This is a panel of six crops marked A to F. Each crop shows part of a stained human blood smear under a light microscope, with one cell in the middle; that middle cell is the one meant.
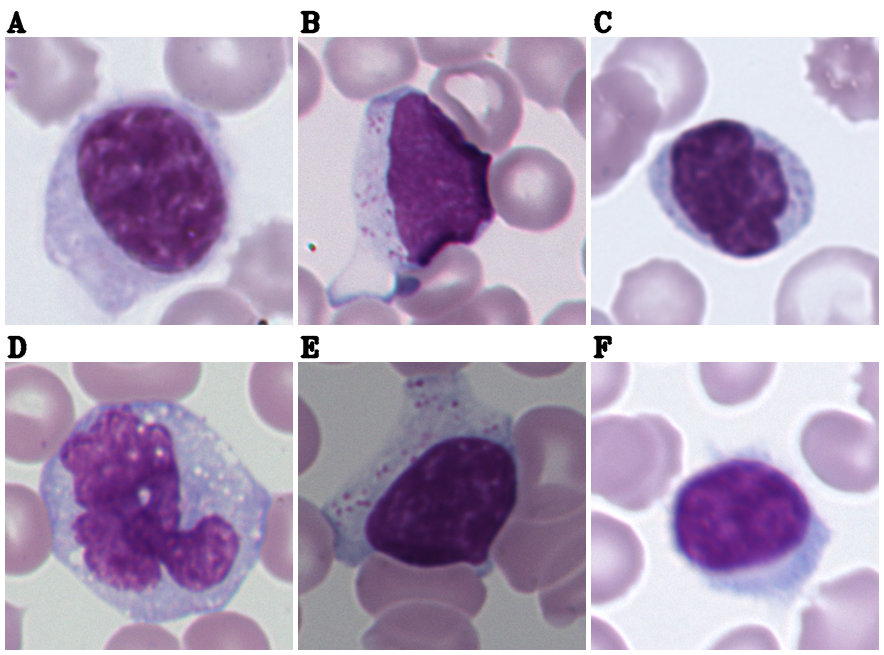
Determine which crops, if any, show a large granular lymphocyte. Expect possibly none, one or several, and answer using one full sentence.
The cells centred in crops B, C and E are large granular lymphocytes.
